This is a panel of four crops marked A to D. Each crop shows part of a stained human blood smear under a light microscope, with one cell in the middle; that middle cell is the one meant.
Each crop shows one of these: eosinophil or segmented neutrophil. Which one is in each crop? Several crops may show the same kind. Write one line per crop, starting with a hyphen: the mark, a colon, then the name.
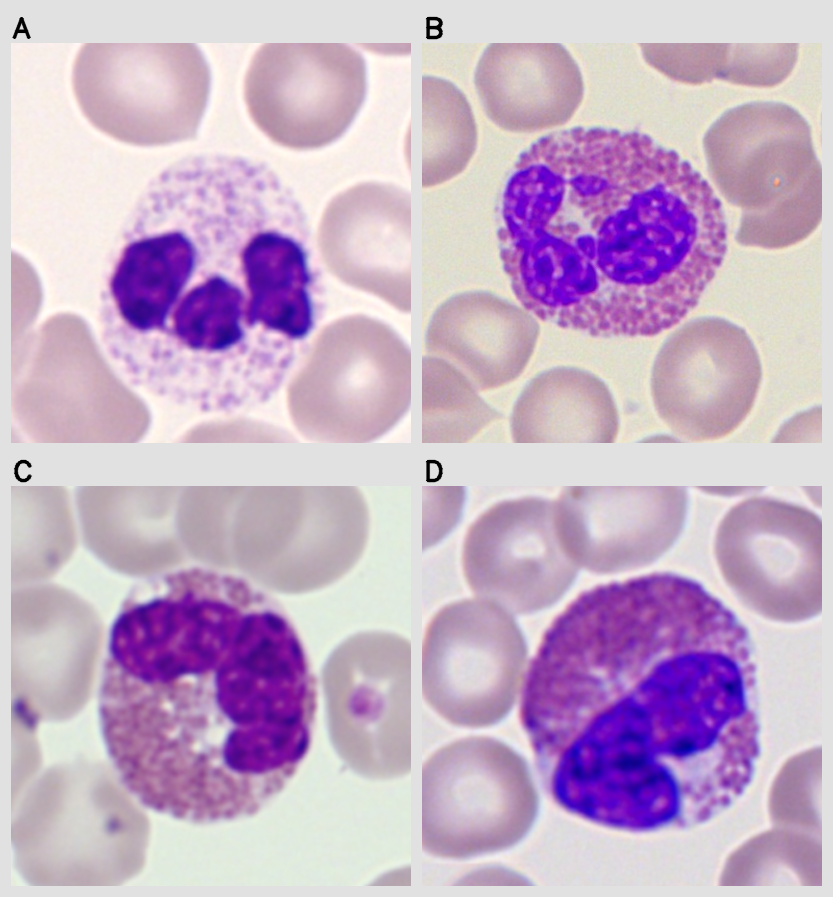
- A: segmented neutrophil
- B: eosinophil
- C: eosinophil
- D: eosinophil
